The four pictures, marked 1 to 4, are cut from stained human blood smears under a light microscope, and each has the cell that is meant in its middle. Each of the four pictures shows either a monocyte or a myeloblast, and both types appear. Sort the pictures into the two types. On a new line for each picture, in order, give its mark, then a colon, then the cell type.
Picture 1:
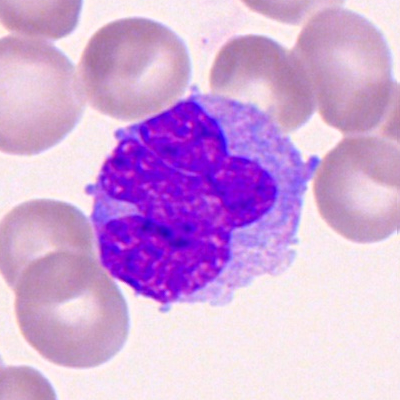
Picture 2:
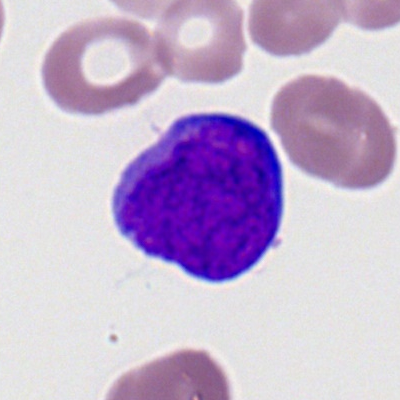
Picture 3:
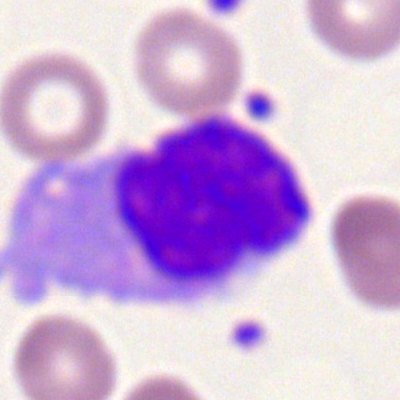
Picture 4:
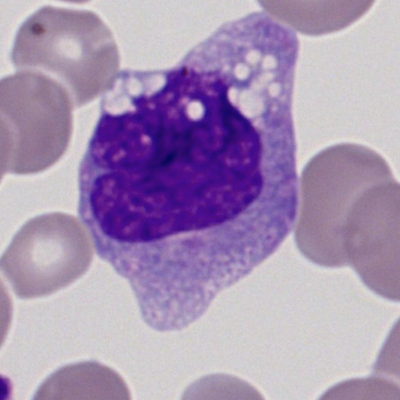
1: monocyte
2: myeloblast
3: monocyte
4: monocyte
